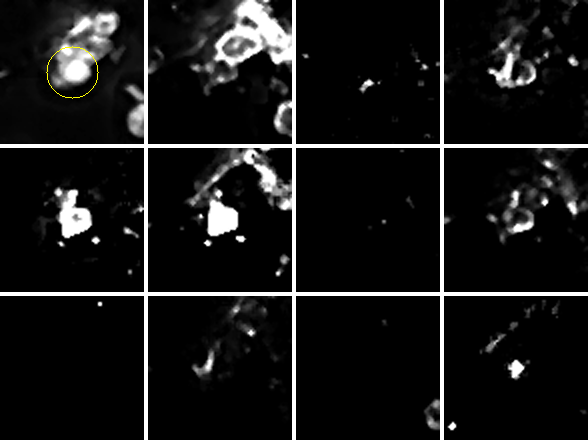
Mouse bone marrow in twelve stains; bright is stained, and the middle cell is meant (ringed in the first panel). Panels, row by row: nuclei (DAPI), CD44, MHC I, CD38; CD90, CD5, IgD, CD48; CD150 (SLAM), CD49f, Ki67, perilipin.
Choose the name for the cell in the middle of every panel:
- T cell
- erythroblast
T cell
